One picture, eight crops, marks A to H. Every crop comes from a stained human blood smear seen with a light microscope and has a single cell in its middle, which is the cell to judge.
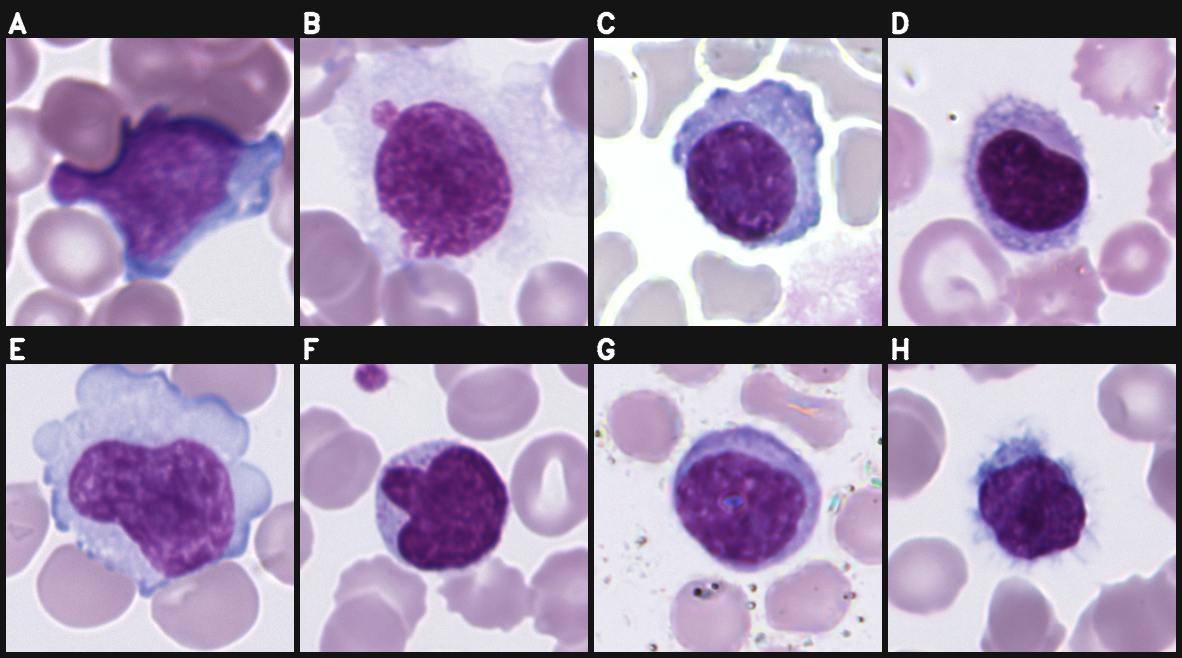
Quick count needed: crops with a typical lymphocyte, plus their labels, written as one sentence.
Only one of these crops has a typical lymphocyte at its centre, crop F.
